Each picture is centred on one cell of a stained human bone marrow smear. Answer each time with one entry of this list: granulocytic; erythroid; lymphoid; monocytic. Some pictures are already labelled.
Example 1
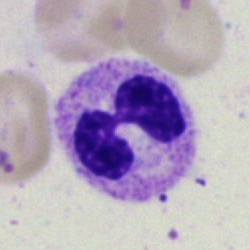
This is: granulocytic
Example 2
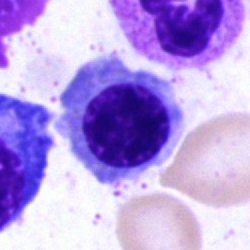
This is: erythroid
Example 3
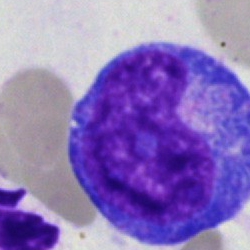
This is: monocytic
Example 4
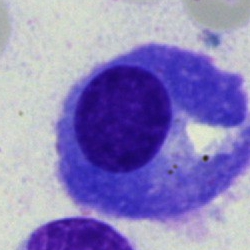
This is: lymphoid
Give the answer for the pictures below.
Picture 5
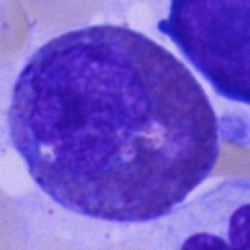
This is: granulocytic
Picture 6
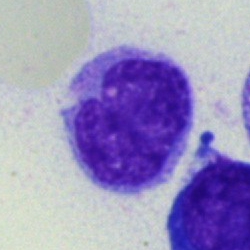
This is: monocytic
